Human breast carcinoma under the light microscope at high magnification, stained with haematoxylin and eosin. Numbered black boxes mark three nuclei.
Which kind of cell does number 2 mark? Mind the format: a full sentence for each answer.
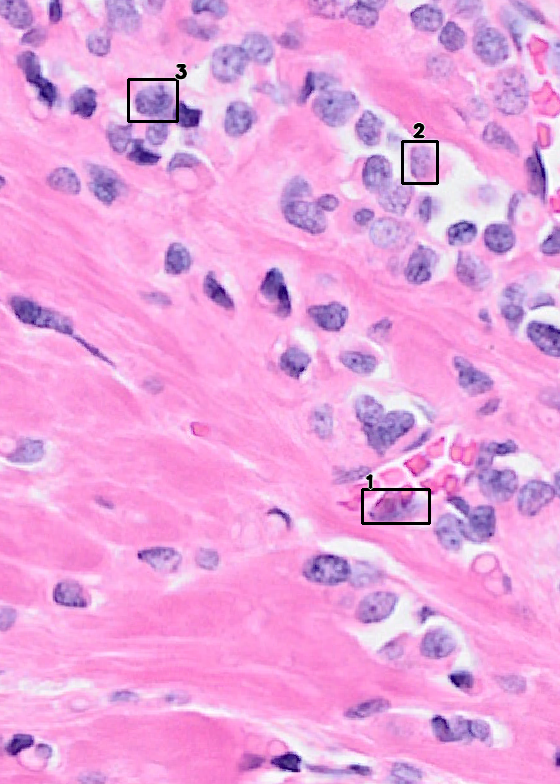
Cell 2 in the field is a carcinoma cell.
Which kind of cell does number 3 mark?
What the number 3 marks in this field is a carcinoma cell.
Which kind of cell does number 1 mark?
Here the cell numbered 1 is an endothelial cell.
